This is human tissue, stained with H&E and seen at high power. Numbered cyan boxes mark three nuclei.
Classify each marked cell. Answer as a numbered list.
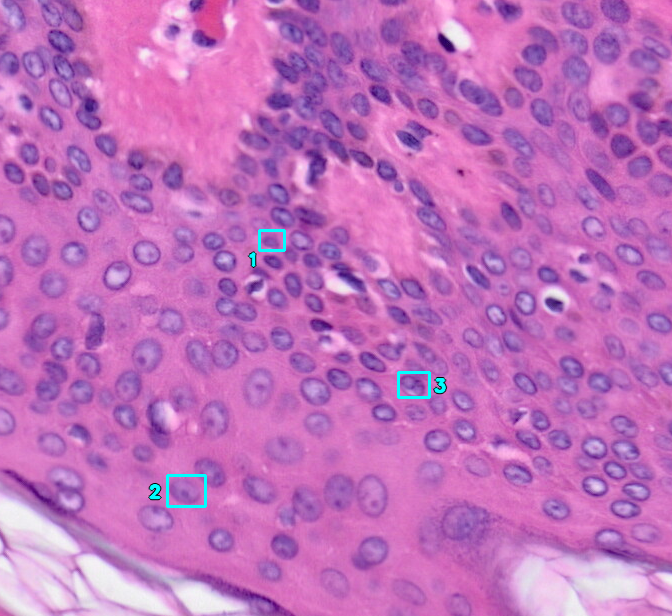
1. basal keratinocyte
2. suprabasal keratinocyte
3. suprabasal keratinocyte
